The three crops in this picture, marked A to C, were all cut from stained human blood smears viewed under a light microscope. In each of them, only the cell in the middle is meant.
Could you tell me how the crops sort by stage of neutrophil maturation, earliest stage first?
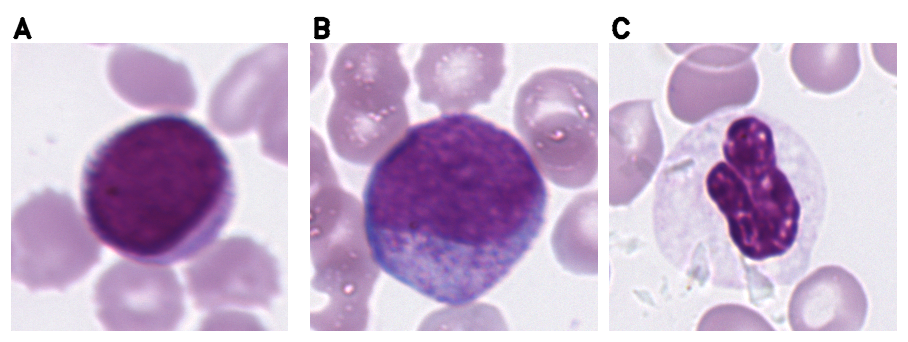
A, B, C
